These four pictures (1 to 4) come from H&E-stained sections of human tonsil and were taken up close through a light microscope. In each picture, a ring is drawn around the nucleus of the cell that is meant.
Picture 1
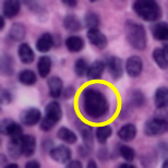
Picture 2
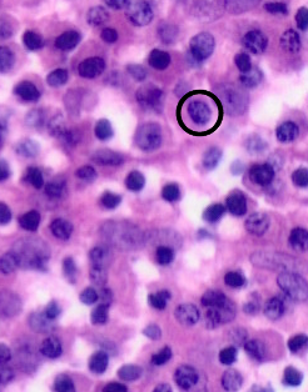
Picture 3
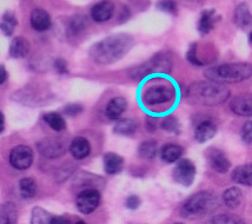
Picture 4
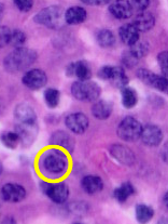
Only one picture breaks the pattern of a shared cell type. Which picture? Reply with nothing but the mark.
1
